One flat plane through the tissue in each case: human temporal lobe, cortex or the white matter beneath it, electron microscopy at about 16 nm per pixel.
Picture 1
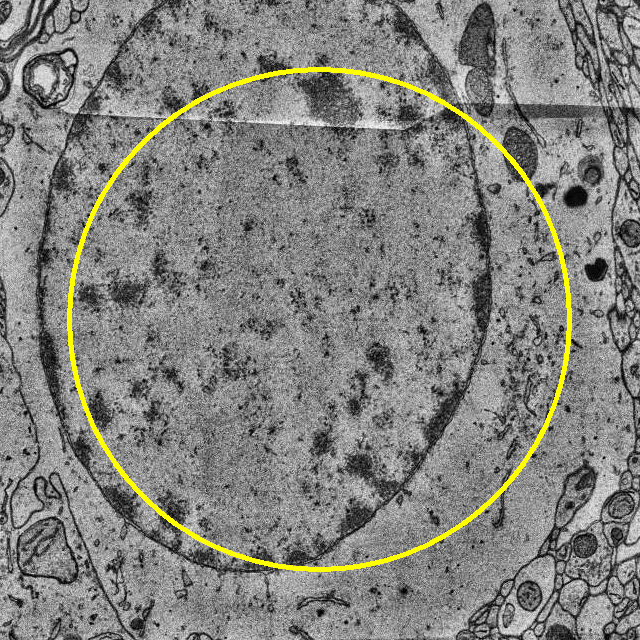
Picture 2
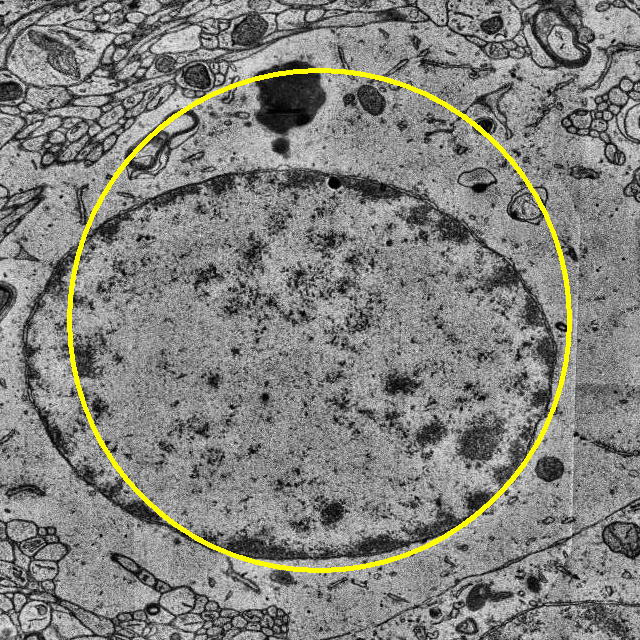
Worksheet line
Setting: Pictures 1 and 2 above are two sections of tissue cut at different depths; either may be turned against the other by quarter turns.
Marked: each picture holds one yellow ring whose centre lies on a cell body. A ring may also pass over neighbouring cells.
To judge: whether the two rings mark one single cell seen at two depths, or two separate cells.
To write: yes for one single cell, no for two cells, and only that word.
yes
